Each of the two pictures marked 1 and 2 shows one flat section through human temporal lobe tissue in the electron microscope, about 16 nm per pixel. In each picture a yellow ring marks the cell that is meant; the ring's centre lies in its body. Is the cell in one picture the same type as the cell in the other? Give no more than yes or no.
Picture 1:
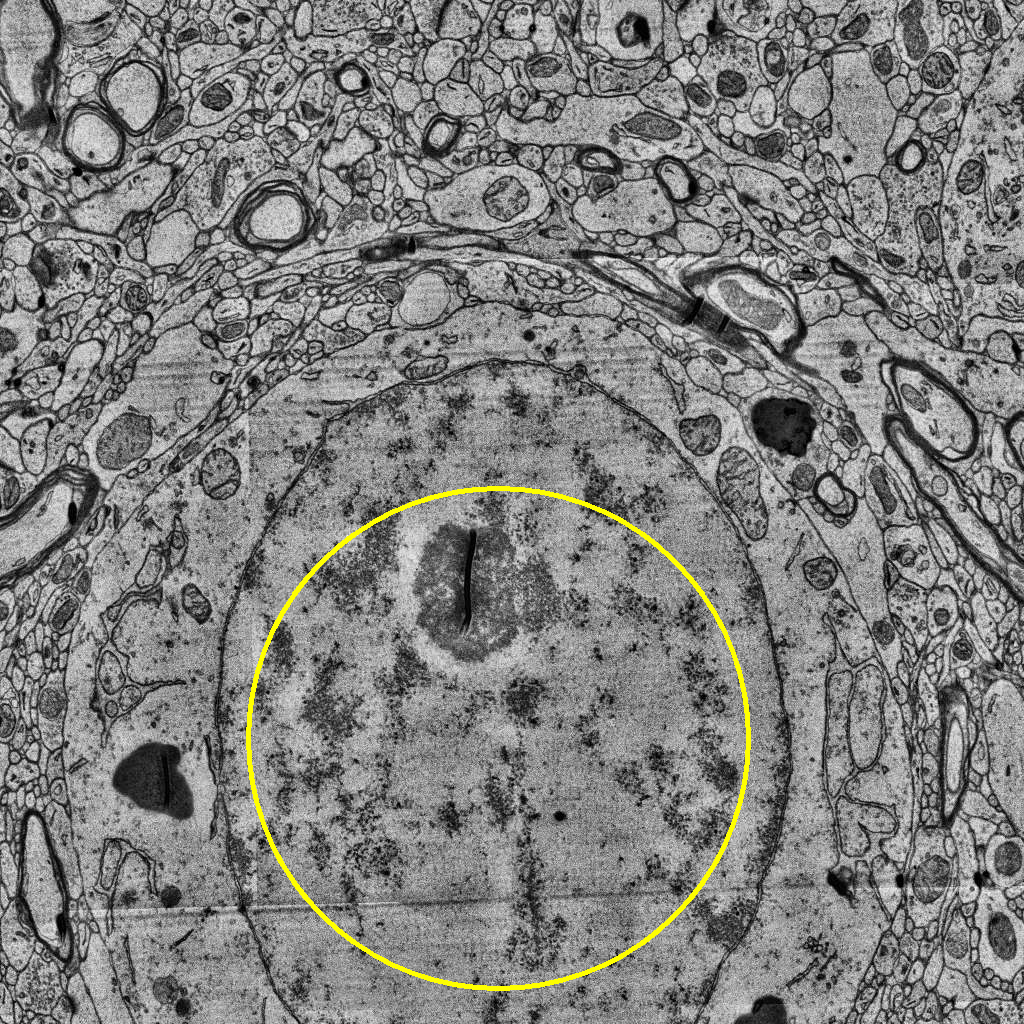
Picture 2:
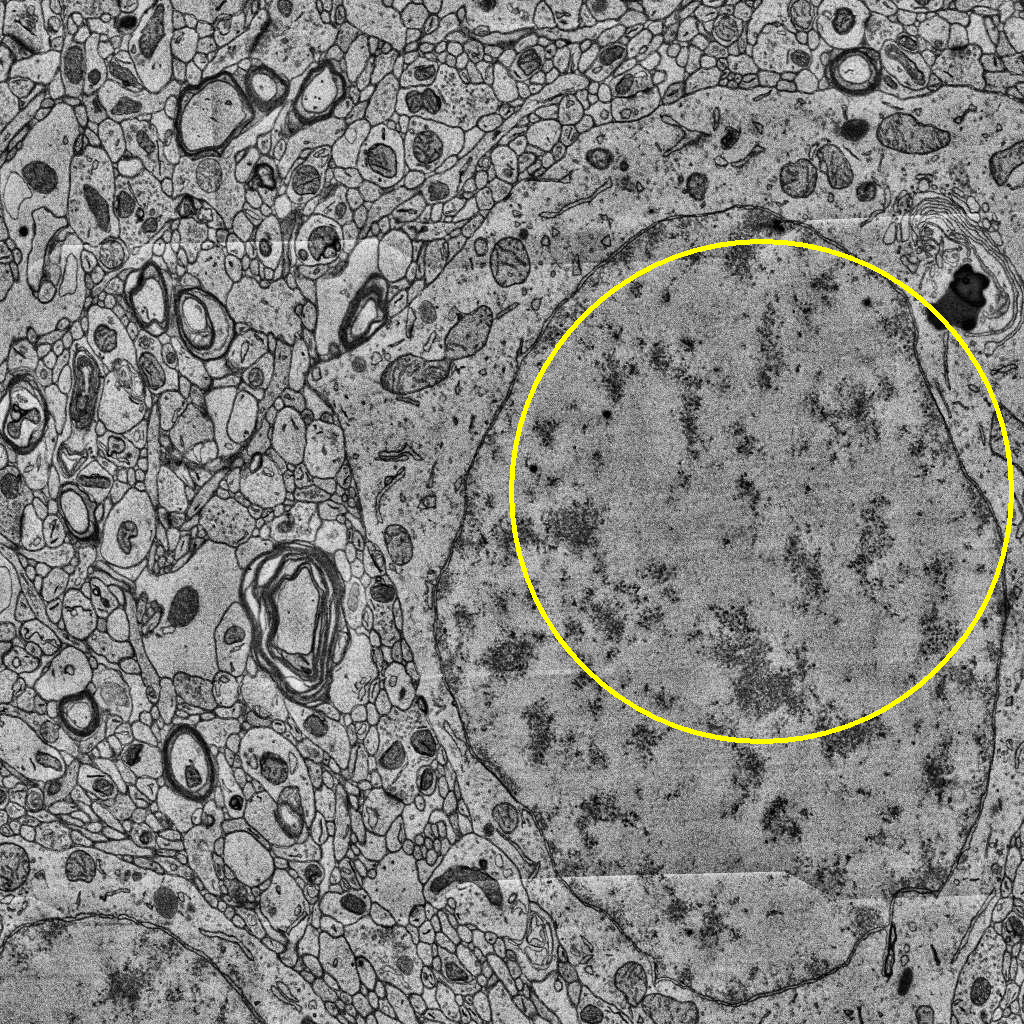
yes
